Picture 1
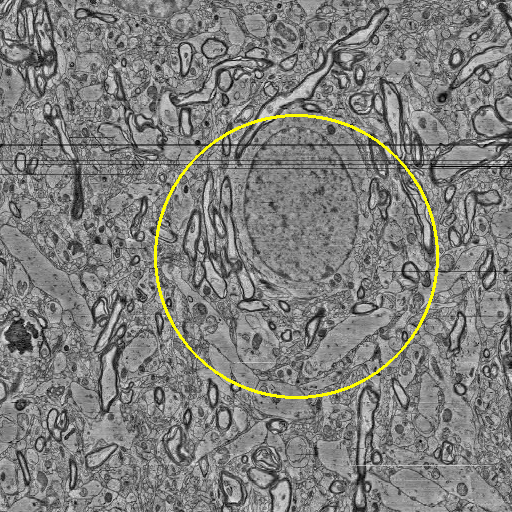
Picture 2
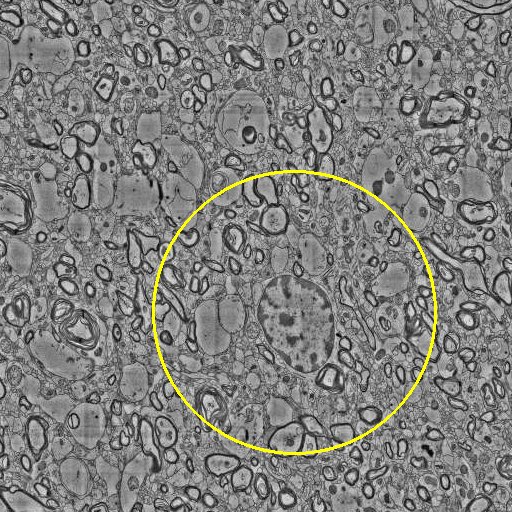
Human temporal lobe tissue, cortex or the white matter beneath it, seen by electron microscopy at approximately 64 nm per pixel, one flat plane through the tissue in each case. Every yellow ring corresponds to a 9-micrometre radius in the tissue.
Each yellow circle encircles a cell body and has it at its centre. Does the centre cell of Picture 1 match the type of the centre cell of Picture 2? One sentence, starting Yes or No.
No, the cell centred in Picture 1 and the one in Picture 2 have separate types.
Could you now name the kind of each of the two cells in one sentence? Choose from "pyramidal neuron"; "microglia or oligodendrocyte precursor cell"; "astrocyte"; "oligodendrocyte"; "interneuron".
The first ring encloses an astrocyte; the second ring encloses a microglial cell or oligodendrocyte precursor cell.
